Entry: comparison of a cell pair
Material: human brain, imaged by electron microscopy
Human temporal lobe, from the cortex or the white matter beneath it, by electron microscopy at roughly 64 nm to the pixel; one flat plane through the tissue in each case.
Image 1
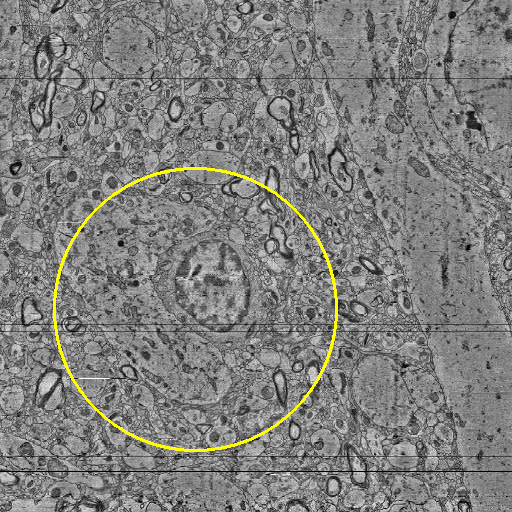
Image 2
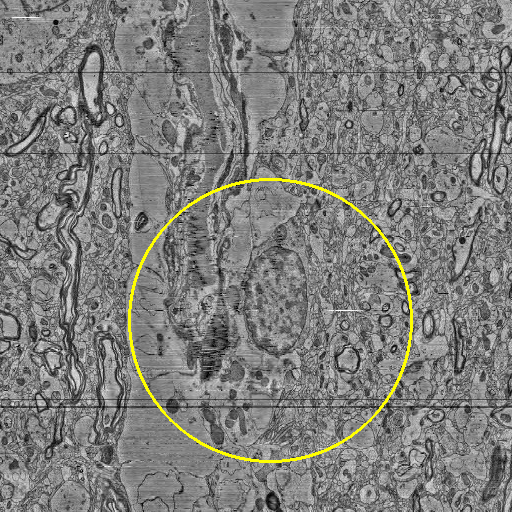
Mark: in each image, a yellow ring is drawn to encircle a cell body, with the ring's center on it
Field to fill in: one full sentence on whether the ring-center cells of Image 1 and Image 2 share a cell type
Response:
Yes, Image 1 and Image 2 each show a ring-center cell of one shared type.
